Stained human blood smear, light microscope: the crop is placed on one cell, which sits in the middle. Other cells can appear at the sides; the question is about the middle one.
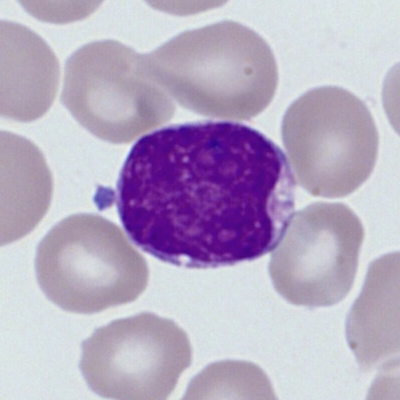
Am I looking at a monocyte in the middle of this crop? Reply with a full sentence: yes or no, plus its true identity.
No, wrong label: the middle cell is a myeloblast instead of a monocyte.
